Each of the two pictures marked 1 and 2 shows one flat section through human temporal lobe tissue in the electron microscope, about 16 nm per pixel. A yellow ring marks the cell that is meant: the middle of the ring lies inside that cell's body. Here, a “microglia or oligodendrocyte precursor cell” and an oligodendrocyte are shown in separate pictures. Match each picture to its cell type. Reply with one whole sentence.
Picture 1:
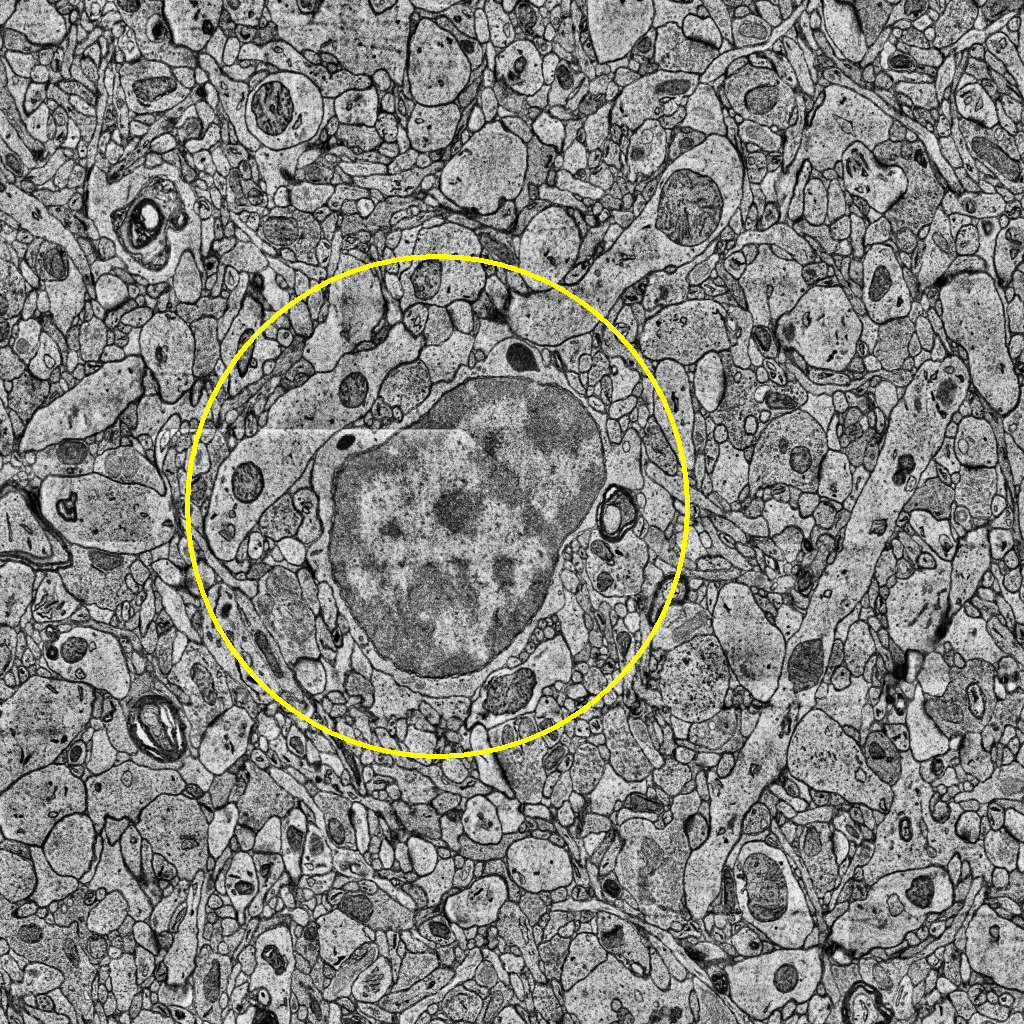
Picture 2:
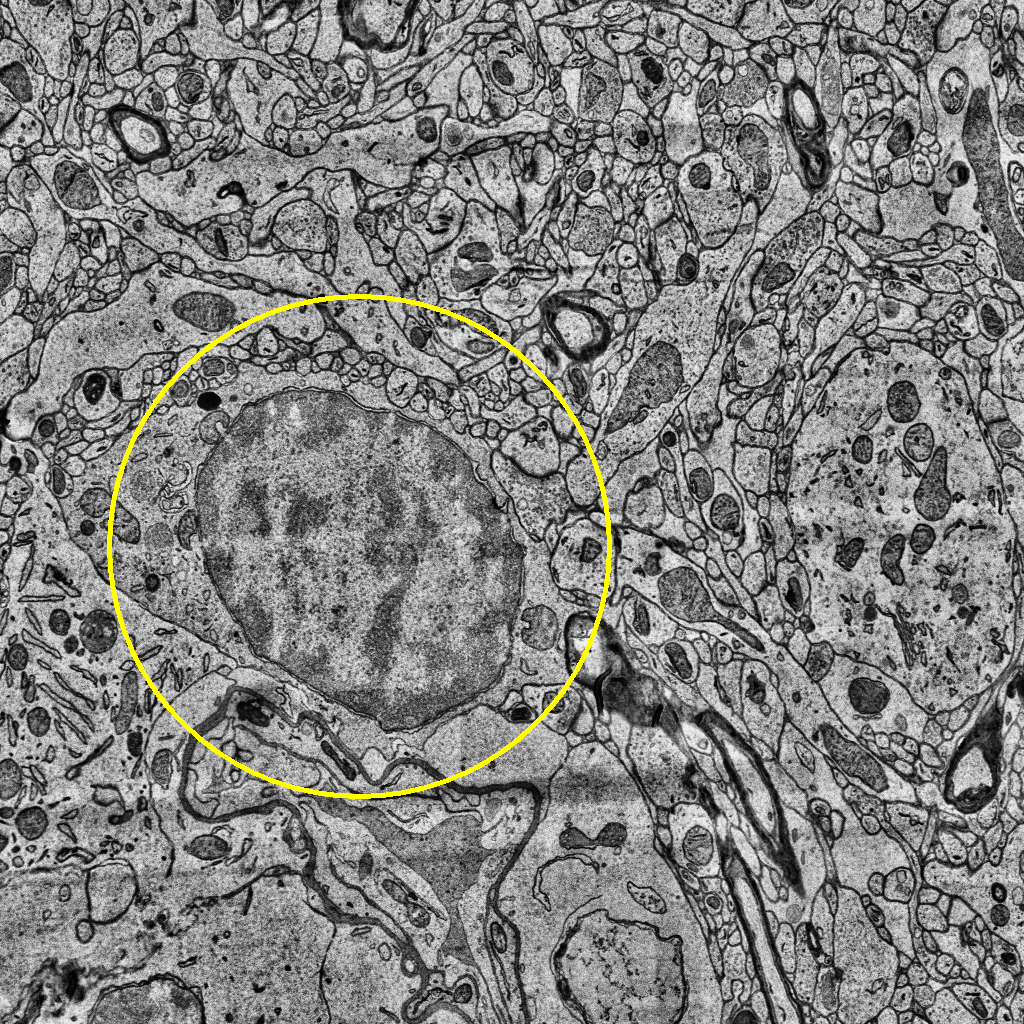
It is picture 1 that shows a “microglia or oligodendrocyte precursor cell”, and picture 2 that shows an oligodendrocyte.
